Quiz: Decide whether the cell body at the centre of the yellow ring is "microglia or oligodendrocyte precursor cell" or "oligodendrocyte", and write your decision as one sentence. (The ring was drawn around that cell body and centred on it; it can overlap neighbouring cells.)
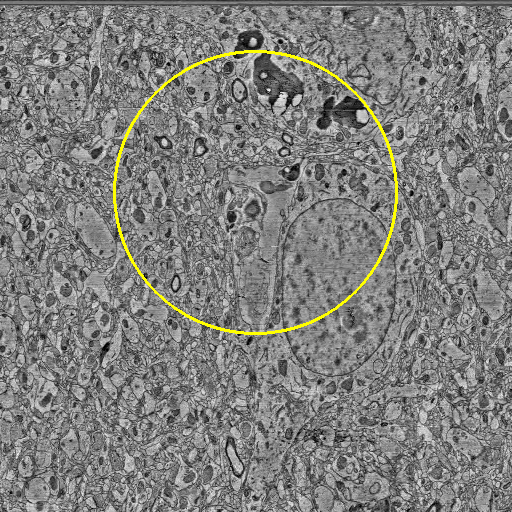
The cell the ring is centred on is a microglial cell or oligodendrocyte precursor cell.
